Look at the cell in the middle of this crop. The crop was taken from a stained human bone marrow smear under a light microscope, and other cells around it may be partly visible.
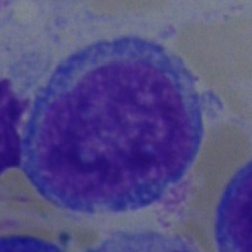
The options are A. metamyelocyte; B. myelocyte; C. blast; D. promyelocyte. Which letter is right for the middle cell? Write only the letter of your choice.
C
